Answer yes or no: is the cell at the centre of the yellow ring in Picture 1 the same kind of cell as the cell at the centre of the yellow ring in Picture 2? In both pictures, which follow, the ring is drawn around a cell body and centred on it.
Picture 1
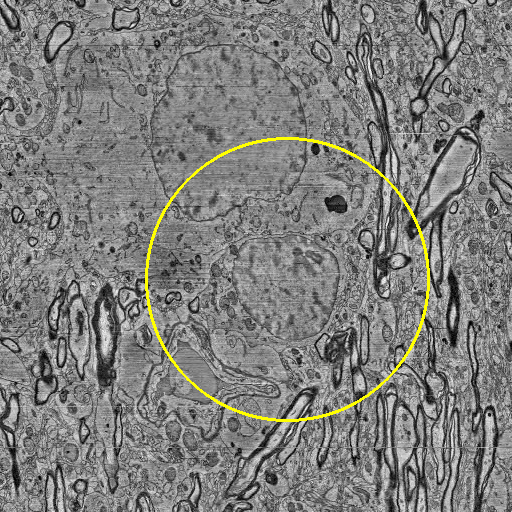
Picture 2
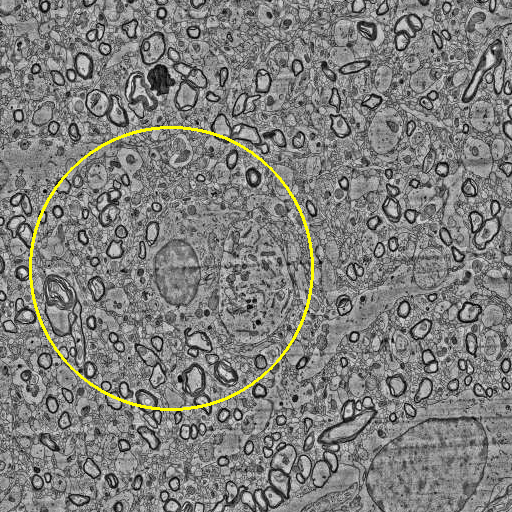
yes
